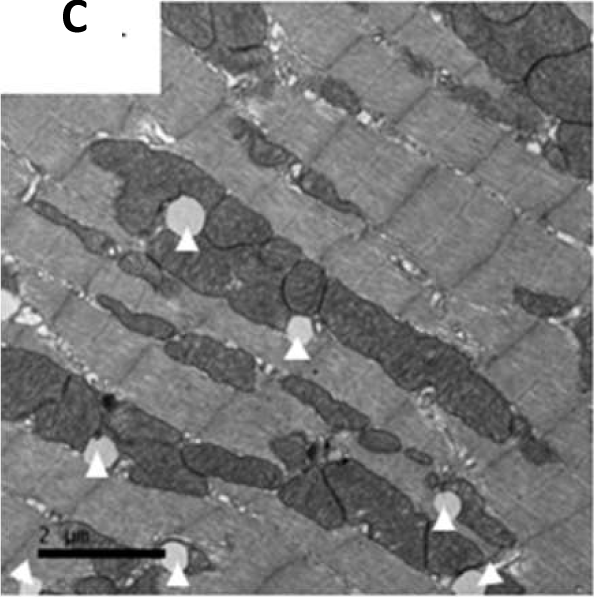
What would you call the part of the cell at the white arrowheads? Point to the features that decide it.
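Lipid droplets. Round, pale grey, homogeneous bodies without internal membranes.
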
